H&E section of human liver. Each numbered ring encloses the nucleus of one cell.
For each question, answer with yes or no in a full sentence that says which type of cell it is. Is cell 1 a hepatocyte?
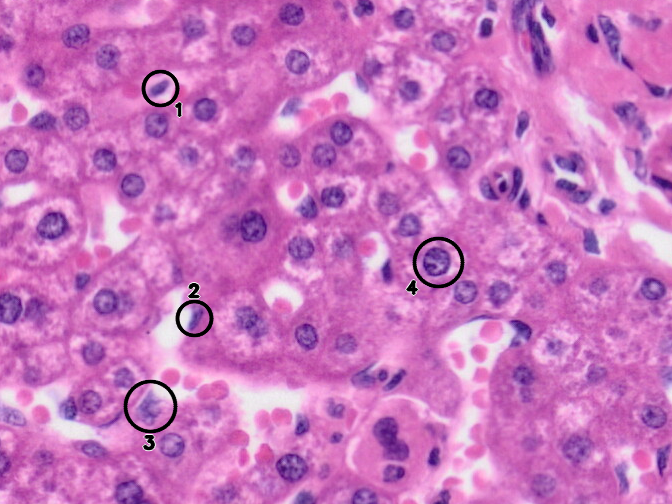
No, the cell with number 1 is not a hepatocyte but a lymphocyte.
